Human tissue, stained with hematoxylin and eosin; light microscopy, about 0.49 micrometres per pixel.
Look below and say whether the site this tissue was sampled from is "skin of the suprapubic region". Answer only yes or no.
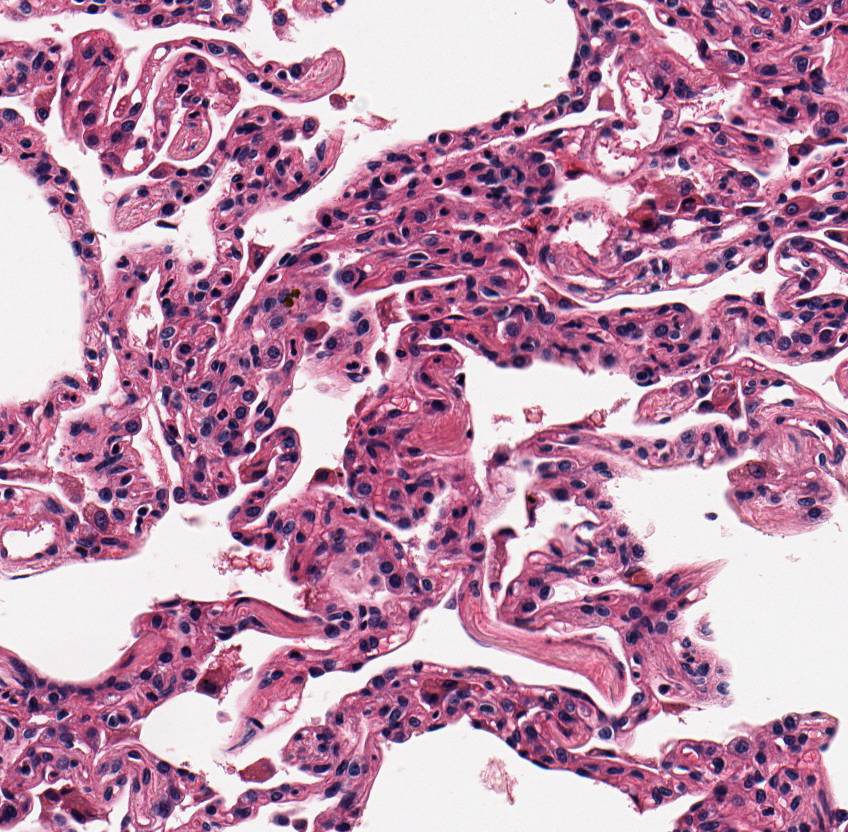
no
